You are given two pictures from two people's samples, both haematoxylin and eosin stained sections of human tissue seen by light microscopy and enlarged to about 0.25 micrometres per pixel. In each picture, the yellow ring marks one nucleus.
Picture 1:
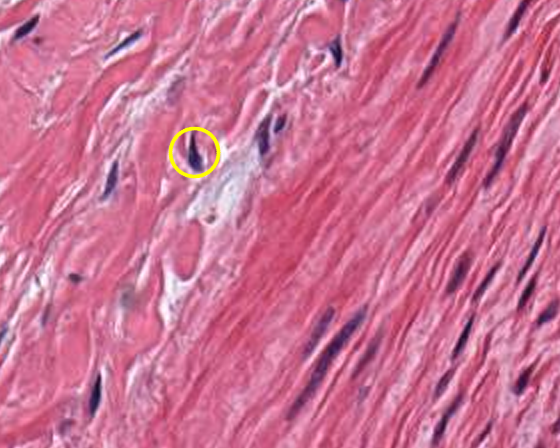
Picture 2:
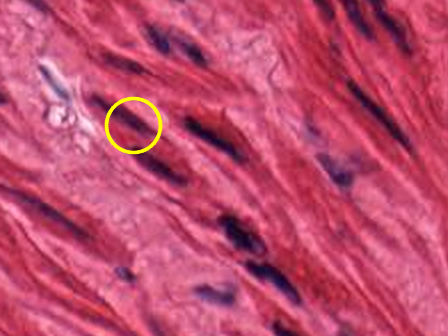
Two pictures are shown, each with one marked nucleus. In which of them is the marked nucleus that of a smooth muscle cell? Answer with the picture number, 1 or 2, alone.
2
